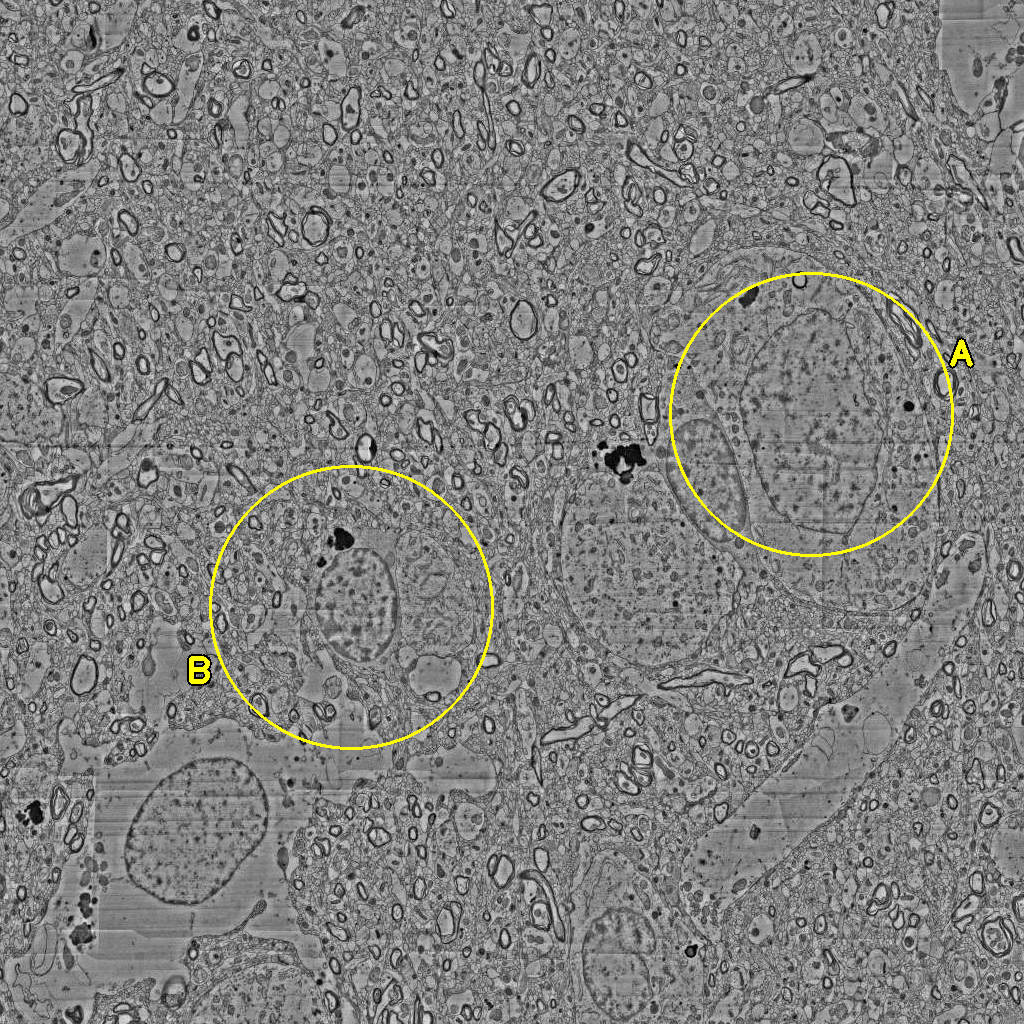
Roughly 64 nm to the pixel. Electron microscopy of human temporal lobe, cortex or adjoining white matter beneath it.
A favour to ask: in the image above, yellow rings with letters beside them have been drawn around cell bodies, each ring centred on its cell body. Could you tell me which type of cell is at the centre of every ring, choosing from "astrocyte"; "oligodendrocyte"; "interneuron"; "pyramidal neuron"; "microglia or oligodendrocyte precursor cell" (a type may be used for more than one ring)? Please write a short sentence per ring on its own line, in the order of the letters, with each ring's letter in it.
Ring A holds a pyramidal neuron at its centre.
Ring B holds an oligodendrocyte at its centre.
